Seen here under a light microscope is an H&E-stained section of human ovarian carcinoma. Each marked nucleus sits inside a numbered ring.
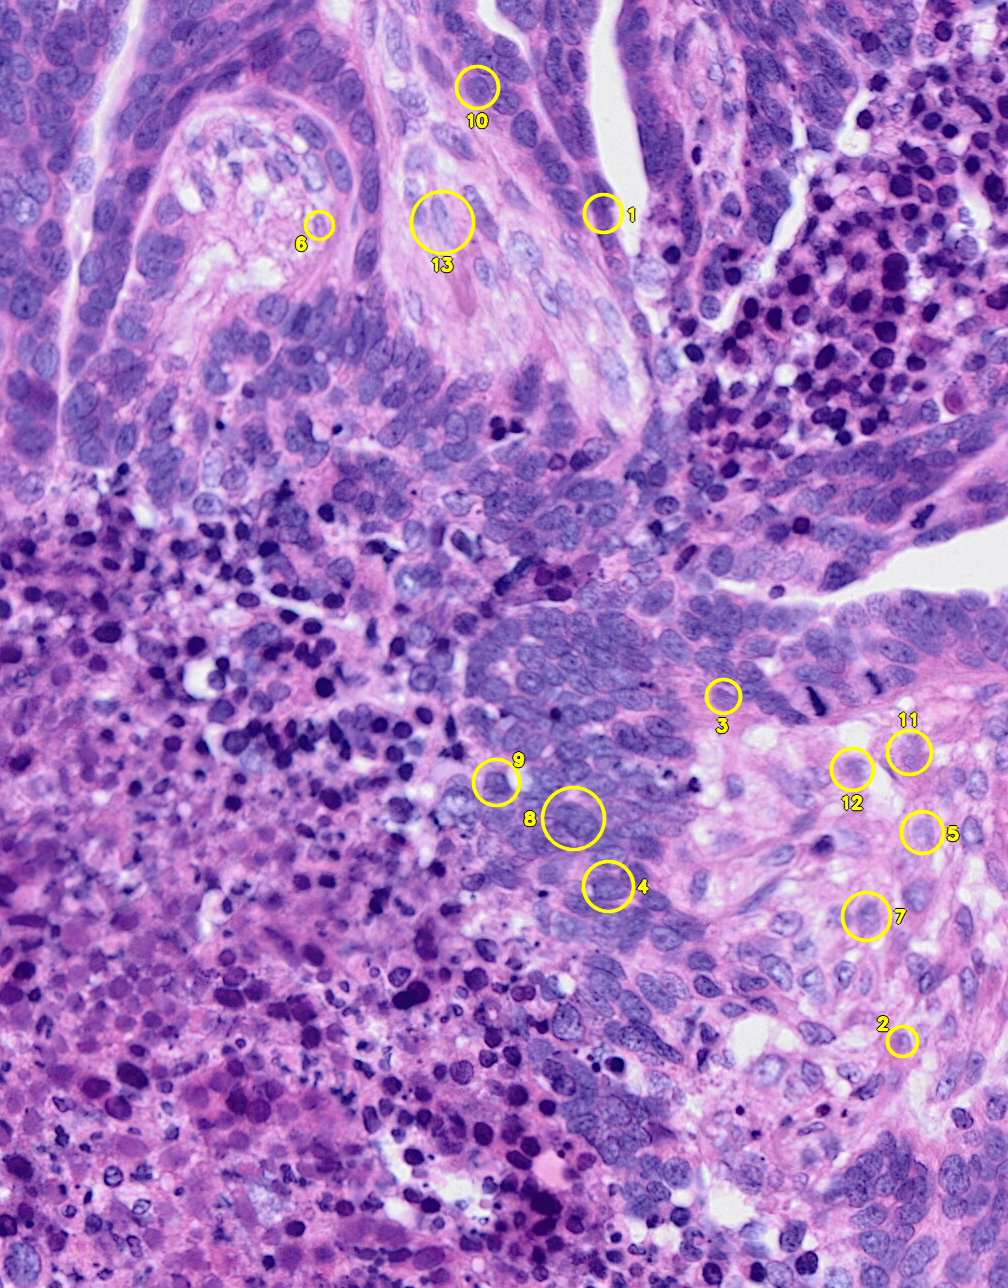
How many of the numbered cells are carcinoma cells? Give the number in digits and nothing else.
6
